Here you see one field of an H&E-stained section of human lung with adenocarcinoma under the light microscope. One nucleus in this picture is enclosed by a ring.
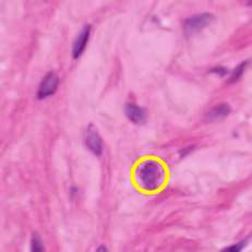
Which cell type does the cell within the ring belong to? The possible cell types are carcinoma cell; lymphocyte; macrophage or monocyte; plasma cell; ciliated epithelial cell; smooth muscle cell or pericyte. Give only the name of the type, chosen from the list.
smooth muscle cell or pericyte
